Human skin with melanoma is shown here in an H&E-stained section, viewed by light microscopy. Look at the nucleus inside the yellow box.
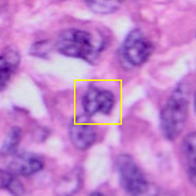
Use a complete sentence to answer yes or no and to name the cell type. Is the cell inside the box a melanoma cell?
Yes, the cell inside the box is a melanoma cell by cell type.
